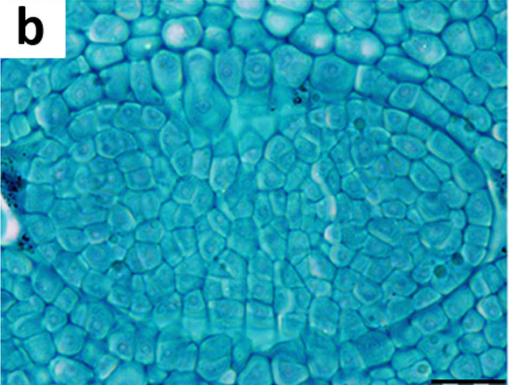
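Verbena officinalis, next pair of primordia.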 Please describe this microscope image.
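A highly magnified section through the shoot apex shows the apical meristem: small, thin-walled, roughly polygonal cells packed without spaces, each with a rounded nucleus and dense cytoplasm, stained pale blue. Toward the middle the cells are less regularly ordered. Slightly larger, more boxy cells lie at the top and bottom edges. Overall this is undifferentiated, dividing meristematic tissue whose surface pattern is already arranged toward forming new lateral outgrowths.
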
